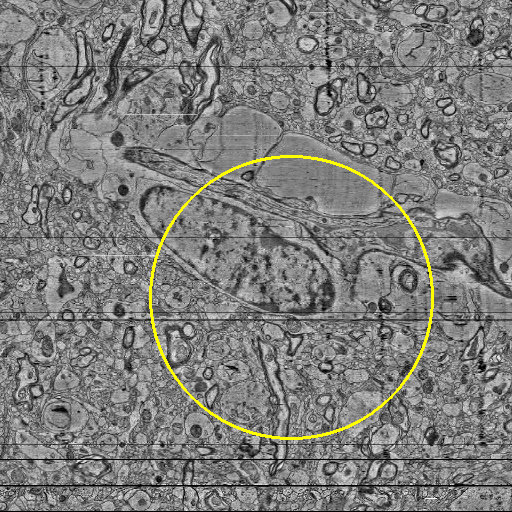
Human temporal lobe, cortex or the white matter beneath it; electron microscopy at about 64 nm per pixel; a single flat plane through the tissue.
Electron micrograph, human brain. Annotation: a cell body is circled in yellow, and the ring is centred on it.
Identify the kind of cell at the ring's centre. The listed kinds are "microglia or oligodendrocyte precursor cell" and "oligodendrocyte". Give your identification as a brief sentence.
The circled cell body is that of a microglial cell or oligodendrocyte precursor cell.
